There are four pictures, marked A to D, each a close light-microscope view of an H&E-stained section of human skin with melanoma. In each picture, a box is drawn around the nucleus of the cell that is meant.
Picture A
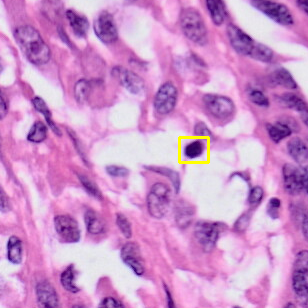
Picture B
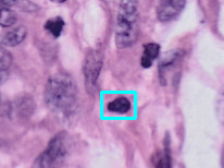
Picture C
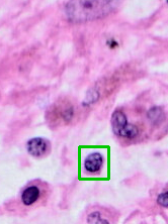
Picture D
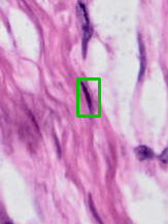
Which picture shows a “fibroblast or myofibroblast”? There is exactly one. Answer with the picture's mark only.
D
